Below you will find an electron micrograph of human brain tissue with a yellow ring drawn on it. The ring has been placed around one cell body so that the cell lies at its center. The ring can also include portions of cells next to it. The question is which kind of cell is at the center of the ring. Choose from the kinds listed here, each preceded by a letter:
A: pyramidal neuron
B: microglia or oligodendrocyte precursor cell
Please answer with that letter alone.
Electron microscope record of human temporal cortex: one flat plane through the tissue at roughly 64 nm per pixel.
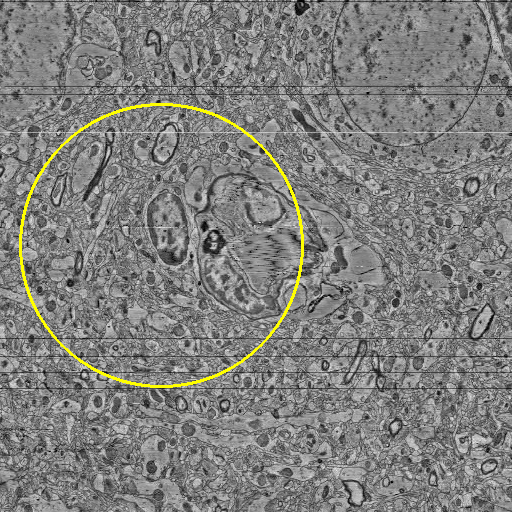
B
